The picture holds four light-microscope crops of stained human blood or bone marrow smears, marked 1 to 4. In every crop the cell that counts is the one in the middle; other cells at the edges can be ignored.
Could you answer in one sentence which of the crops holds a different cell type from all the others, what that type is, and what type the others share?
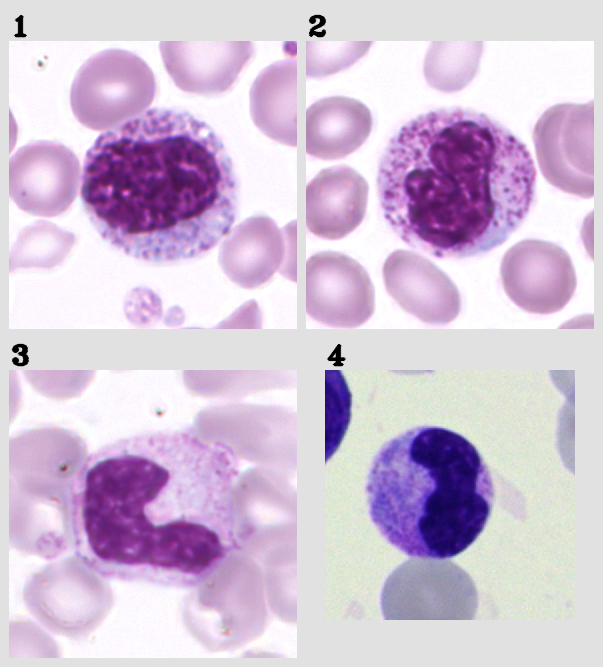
Crop 1 is a metamyelocyte, while the rest of the set consists of band neutrophils.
